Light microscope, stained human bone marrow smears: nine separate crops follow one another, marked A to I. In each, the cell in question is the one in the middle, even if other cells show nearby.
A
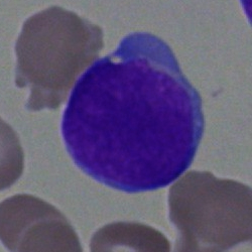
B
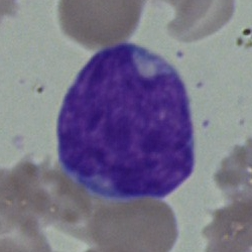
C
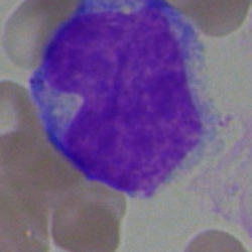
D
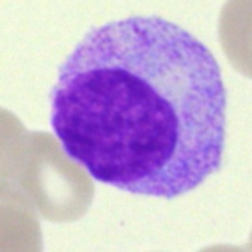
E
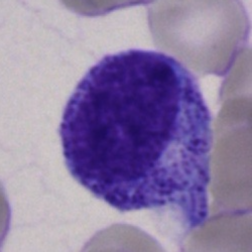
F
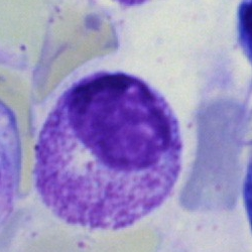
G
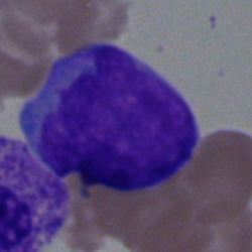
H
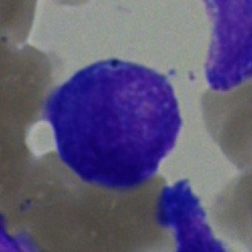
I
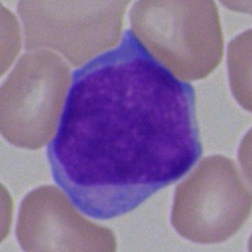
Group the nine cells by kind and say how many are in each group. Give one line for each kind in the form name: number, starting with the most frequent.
blast: 6
myelocyte: 3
